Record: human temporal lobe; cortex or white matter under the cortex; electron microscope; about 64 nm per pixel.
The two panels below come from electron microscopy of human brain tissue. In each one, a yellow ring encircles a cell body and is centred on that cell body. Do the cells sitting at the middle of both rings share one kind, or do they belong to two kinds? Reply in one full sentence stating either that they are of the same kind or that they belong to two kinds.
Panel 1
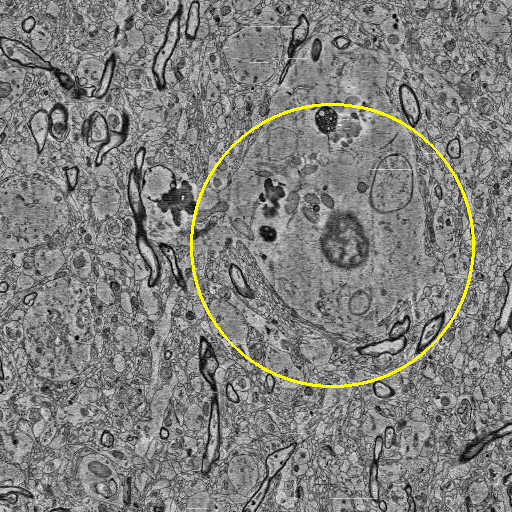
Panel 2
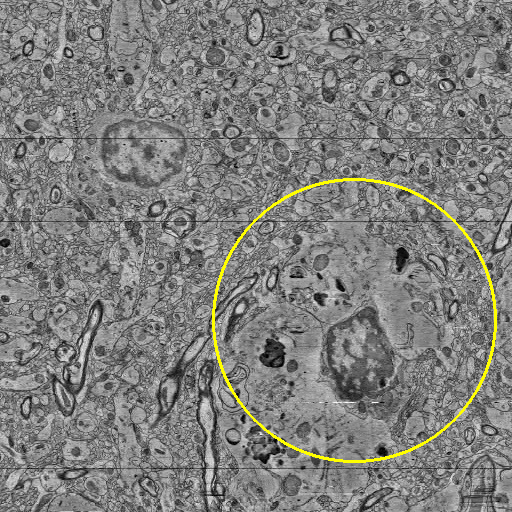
The cells at the centres of the two rings belong to two kinds.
